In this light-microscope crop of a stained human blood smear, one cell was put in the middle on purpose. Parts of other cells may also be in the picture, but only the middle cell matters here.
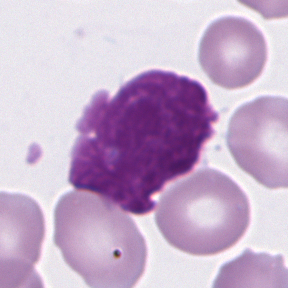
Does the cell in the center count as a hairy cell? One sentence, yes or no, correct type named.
No, what lies at the heart of the crop is a smudge cell, not a hairy cell.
